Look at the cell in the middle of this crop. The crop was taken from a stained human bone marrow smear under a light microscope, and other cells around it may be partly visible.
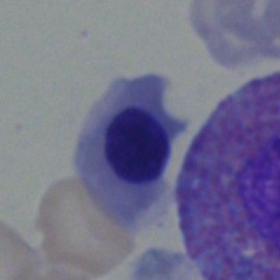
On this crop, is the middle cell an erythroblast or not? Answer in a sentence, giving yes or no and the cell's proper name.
Yes, the cell found at the centre of the crop is an erythroblast.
